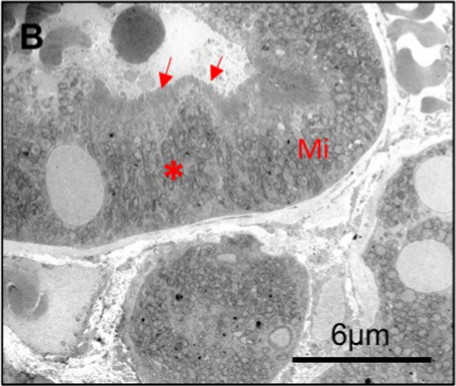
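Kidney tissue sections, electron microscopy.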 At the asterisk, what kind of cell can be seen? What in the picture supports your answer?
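The cells form a tubule around a lumen. Their cytoplasm is packed with numerous dense round profiles. A dense band lines the luminal surface. So: proximal tubule epithelial cells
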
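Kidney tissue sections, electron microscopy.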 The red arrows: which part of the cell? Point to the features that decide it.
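Brush borders. The arrows point to a dense continuous band at the cell surface facing the lumen.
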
